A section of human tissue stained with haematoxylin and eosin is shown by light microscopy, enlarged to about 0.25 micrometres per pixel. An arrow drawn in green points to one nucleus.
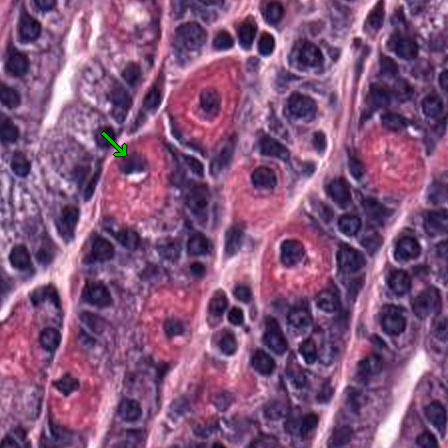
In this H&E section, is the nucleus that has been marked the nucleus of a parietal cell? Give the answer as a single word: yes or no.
yes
